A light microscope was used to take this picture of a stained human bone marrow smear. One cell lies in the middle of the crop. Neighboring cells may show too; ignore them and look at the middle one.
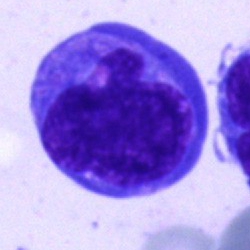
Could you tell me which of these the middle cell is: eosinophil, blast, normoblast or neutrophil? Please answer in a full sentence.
The crop's centre is taken up by a blast.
